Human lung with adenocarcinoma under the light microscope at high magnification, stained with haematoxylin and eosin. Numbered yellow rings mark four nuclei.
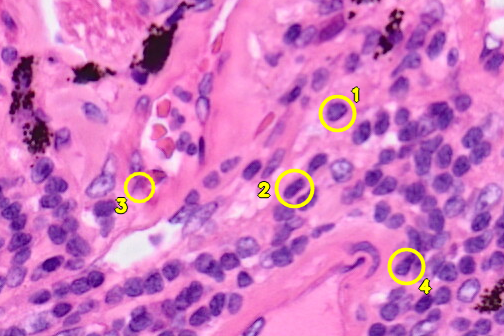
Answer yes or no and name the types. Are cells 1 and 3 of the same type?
No, a mast cell is what cell 1 is, and an endothelial cell is what cell 3 is.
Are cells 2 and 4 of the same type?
Yes, for cells 2 and 4 alike, the identity is that of lymphocytes.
